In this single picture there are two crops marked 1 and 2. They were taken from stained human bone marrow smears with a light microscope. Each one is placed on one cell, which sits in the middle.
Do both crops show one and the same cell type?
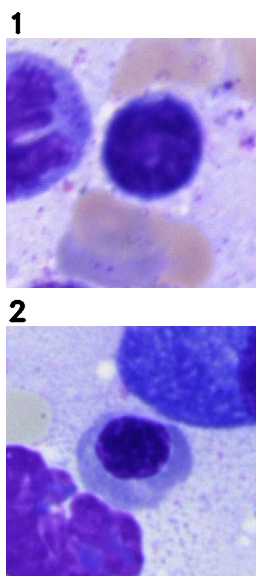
no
